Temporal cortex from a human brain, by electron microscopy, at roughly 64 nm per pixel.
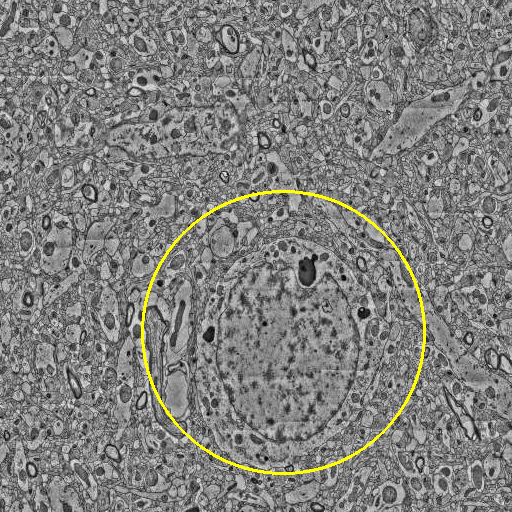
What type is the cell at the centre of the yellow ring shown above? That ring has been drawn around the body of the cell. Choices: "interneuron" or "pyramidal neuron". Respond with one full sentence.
My answer is that an interneuron lies at the centre of the yellow ring above.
